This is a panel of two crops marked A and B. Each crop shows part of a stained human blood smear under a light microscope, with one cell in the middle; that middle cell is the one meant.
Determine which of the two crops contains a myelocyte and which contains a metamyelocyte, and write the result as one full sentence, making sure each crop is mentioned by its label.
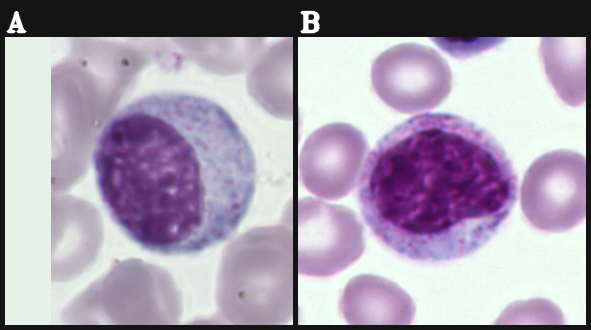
Crop A holds a myelocyte; crop B holds a metamyelocyte.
